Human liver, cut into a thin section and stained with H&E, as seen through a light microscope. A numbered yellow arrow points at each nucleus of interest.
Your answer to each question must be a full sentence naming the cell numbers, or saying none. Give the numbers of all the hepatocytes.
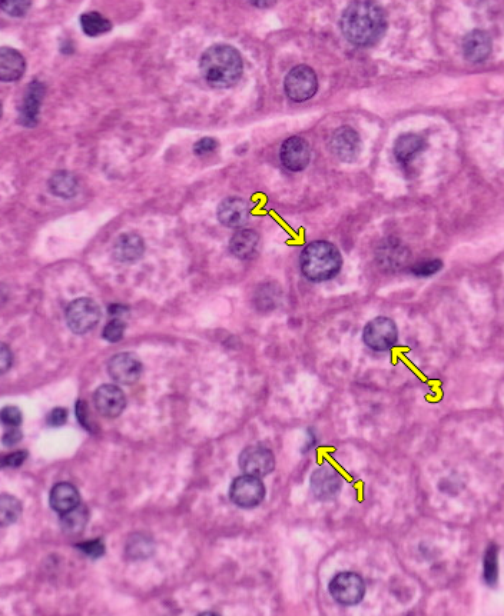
The cells marked by the numbers 2 and 3 are hepatocytes.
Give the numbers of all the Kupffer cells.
Taken together, the numbered cells include no Kupffer cells.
